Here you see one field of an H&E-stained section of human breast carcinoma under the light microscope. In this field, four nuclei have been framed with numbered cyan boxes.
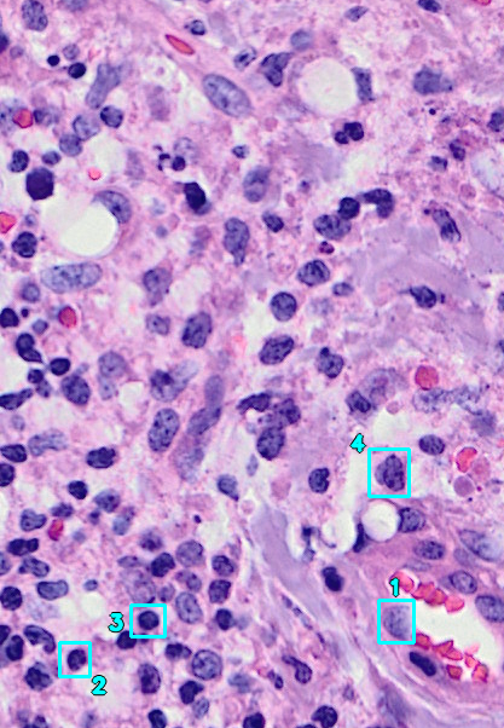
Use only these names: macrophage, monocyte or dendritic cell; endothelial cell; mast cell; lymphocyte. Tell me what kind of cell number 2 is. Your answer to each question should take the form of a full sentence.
The cell to which the number 2 is assigned is a lymphocyte.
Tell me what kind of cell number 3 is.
The marked nucleus 3 is that of a lymphocyte.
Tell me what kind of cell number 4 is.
In this section, the cell numbered 4 is a macrophage, monocyte or dendritic cell.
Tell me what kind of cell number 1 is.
That cell with number 1 is an endothelial cell.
